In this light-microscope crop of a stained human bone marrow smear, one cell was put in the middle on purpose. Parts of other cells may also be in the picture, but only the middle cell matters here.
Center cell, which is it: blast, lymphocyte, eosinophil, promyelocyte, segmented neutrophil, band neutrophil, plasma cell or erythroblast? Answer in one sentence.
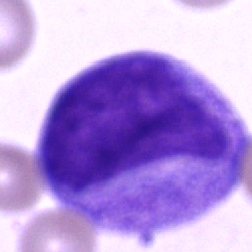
The cell centred in this crop is categorized as a promyelocyte.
